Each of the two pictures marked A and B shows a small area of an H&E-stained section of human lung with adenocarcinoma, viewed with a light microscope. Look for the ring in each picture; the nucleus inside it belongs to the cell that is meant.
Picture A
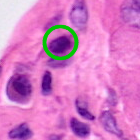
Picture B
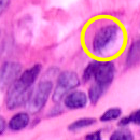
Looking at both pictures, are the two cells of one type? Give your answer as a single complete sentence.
No; the cell in picture A is a plasma cell, while the one in picture B is a ciliated epithelial cell.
